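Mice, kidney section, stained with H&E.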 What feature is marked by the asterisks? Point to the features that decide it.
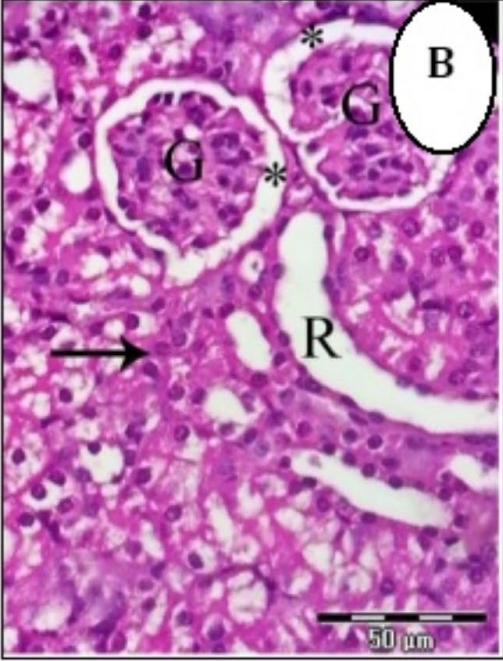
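The asterisks lie on a clear rim between a round tuft of cells and its enclosing capsule. On this evidence: Bowman´s space.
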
